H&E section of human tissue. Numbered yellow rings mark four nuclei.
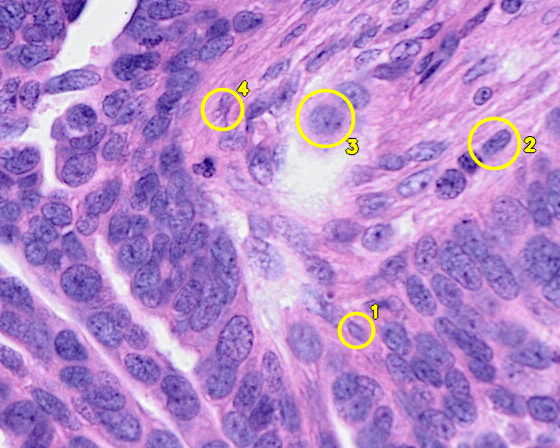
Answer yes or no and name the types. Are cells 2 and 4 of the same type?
No, cell 2 is a macrophage or monocyte and cell 4 is a fibroblast.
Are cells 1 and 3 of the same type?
No, cell 1 is a fibroblast and cell 3 is a carcinoma cell.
